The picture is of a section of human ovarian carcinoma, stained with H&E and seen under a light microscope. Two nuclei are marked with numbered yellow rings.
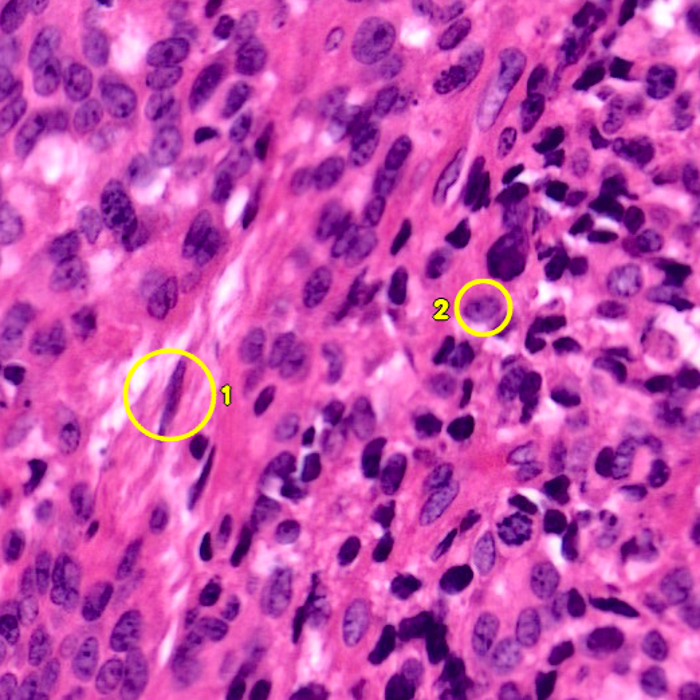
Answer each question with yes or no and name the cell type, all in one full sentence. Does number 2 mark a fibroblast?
No, the cell indicated by 2 is a carcinoma cell instead of a fibroblast.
